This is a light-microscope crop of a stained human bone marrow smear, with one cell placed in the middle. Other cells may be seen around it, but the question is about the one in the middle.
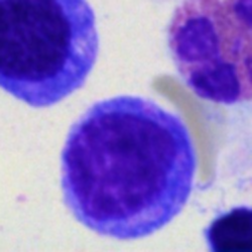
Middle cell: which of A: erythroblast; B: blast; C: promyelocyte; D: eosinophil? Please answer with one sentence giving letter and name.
It is a blast that occupies the centre of the crop, so option B is correct.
